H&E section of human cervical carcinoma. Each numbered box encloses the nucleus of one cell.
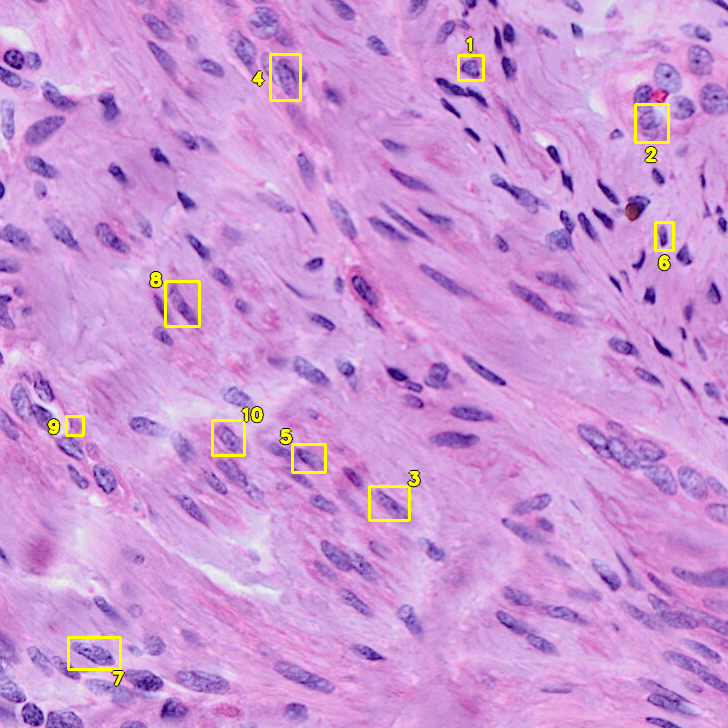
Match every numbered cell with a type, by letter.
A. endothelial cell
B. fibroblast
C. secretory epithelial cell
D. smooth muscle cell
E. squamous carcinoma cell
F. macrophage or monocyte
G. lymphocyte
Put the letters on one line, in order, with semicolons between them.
D; A; D; A; D; B; B; D; A; D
